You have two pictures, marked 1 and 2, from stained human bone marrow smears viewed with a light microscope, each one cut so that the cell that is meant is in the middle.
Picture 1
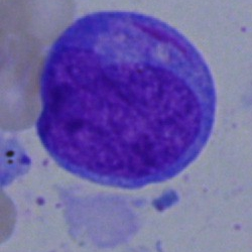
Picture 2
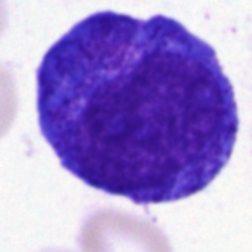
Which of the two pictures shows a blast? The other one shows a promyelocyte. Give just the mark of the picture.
1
